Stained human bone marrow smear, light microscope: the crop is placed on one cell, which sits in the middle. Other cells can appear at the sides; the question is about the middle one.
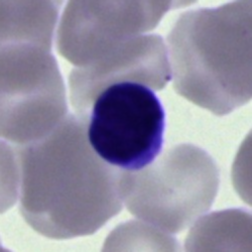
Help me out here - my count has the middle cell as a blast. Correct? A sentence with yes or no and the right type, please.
No, the one in the center is not a blast; it is a lymphocyte.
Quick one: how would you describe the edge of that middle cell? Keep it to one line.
If you check the edge, you will find it smooth without projections.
